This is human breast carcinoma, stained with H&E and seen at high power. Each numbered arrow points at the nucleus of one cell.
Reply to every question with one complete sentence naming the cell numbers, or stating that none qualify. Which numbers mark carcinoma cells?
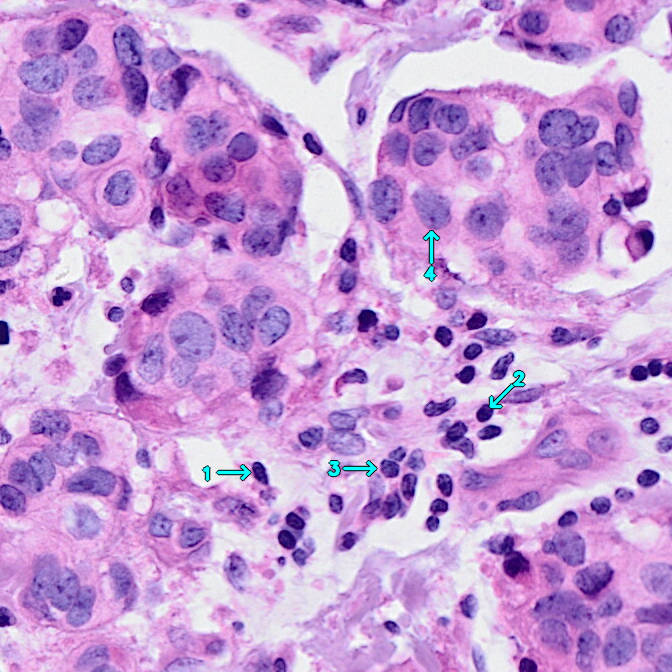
Cell 4 is a carcinoma cell, and that holds for no other numbered cell.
